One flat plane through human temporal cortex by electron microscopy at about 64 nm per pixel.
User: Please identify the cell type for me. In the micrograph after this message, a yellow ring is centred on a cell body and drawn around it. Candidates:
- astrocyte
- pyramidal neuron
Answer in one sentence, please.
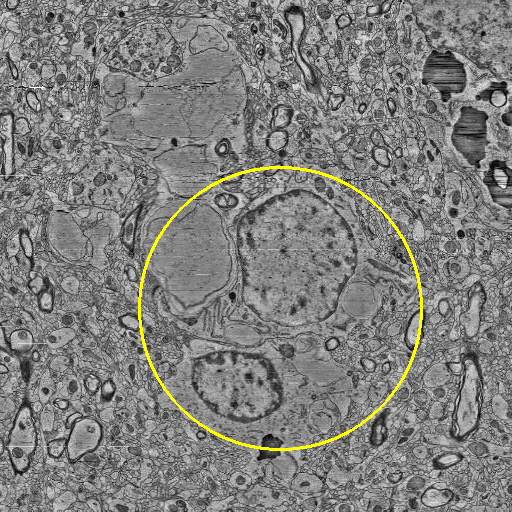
The ring is drawn around the cell body of an astrocyte.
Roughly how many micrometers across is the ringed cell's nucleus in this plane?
In this plane, roughly 9 by 8 micrometres.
